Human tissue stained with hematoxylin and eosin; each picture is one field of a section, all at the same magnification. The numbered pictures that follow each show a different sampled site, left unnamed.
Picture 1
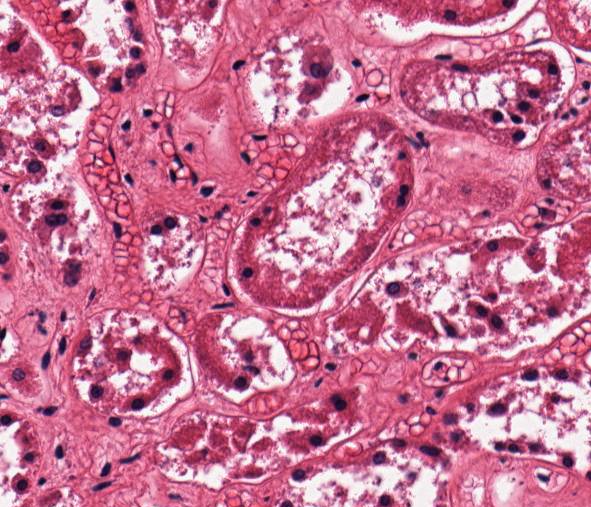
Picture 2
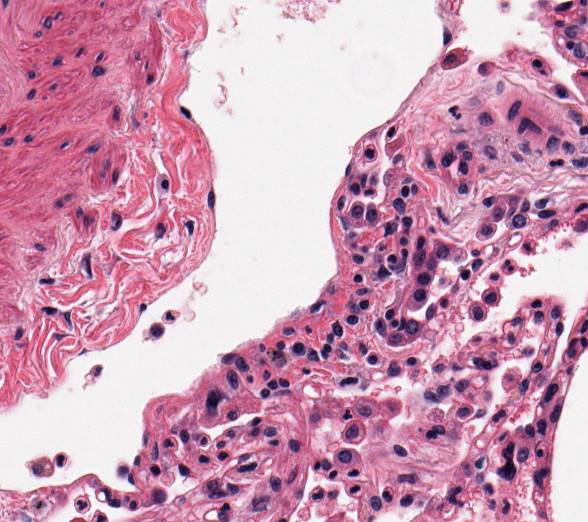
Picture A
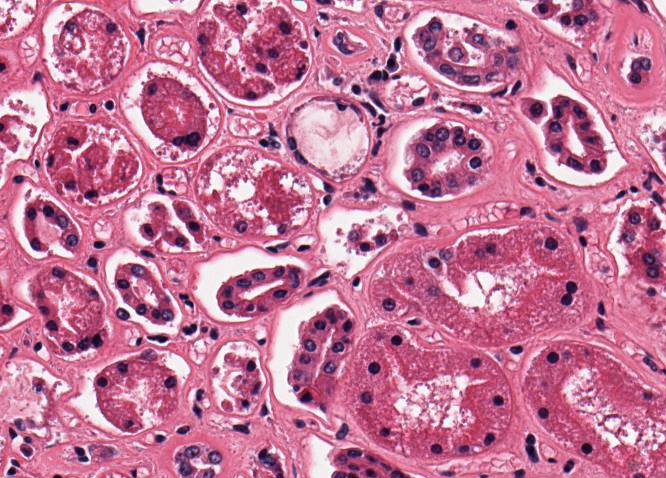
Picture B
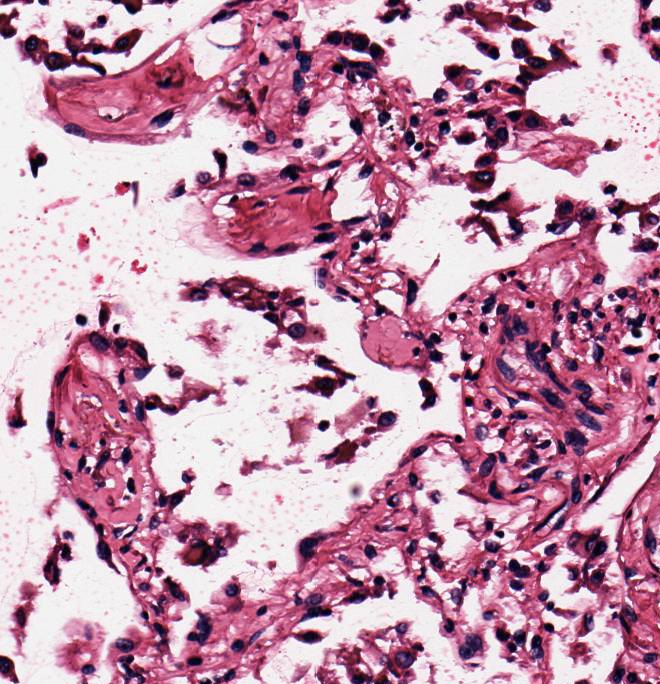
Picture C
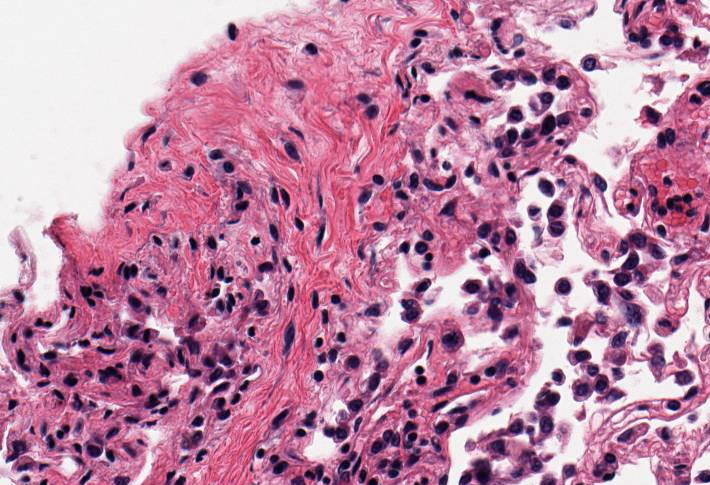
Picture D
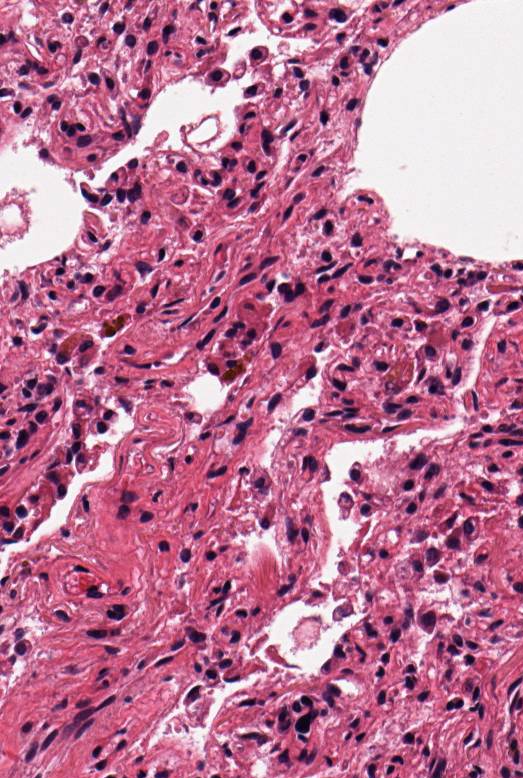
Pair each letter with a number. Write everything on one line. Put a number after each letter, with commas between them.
A 1, B 2, C 2, D 2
